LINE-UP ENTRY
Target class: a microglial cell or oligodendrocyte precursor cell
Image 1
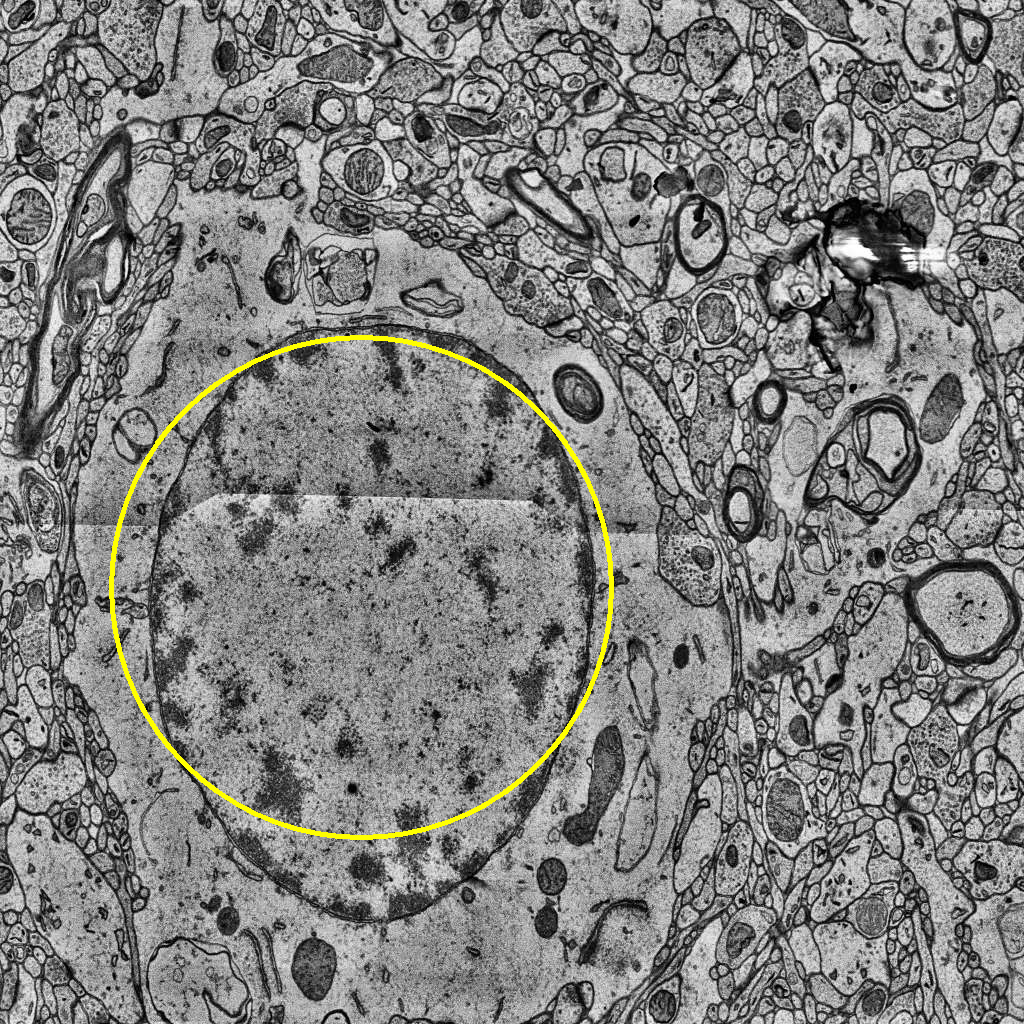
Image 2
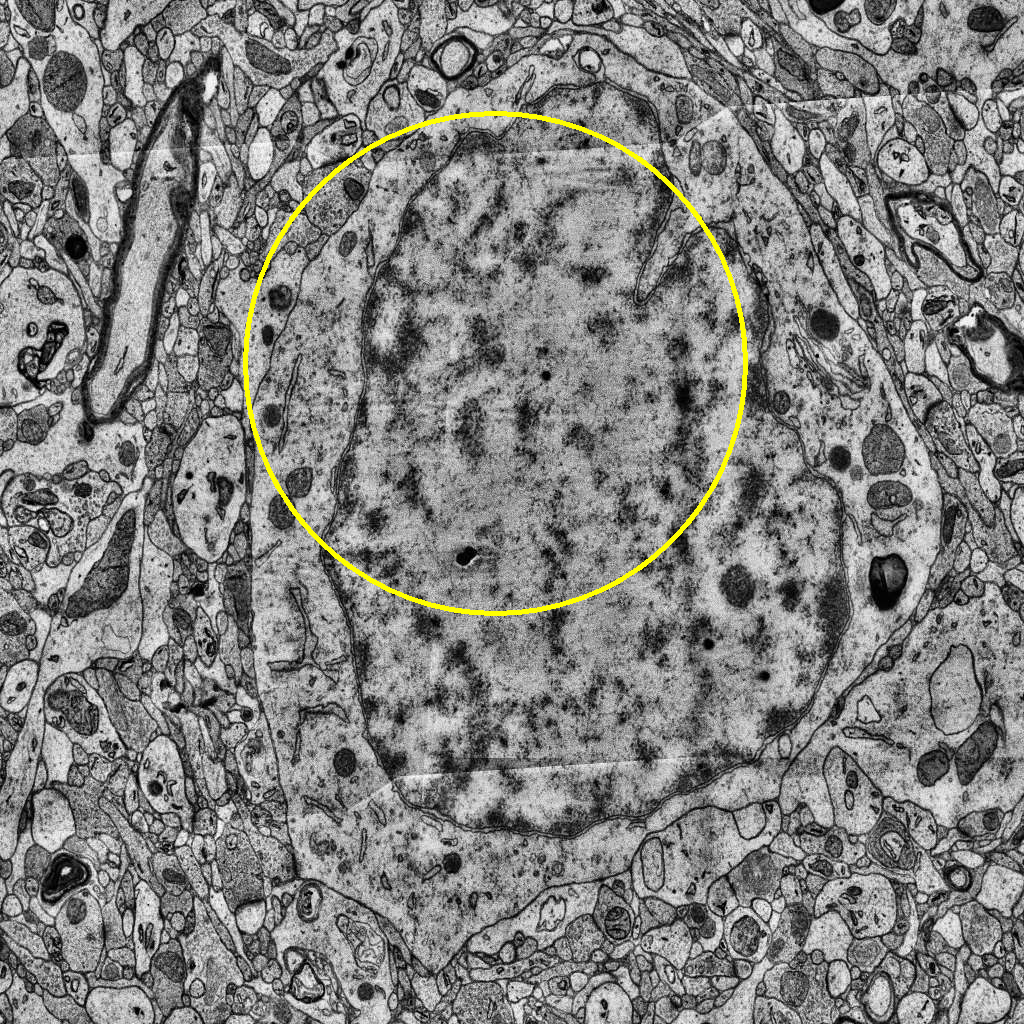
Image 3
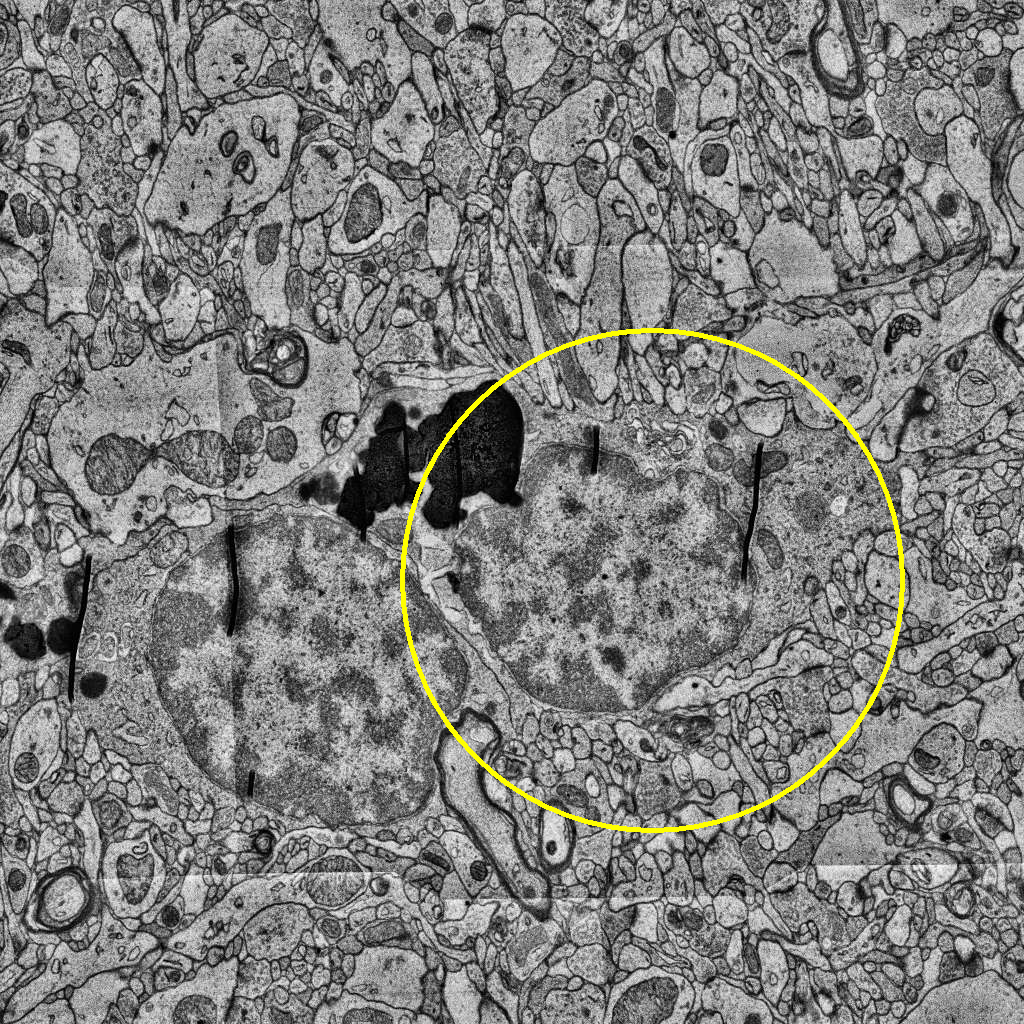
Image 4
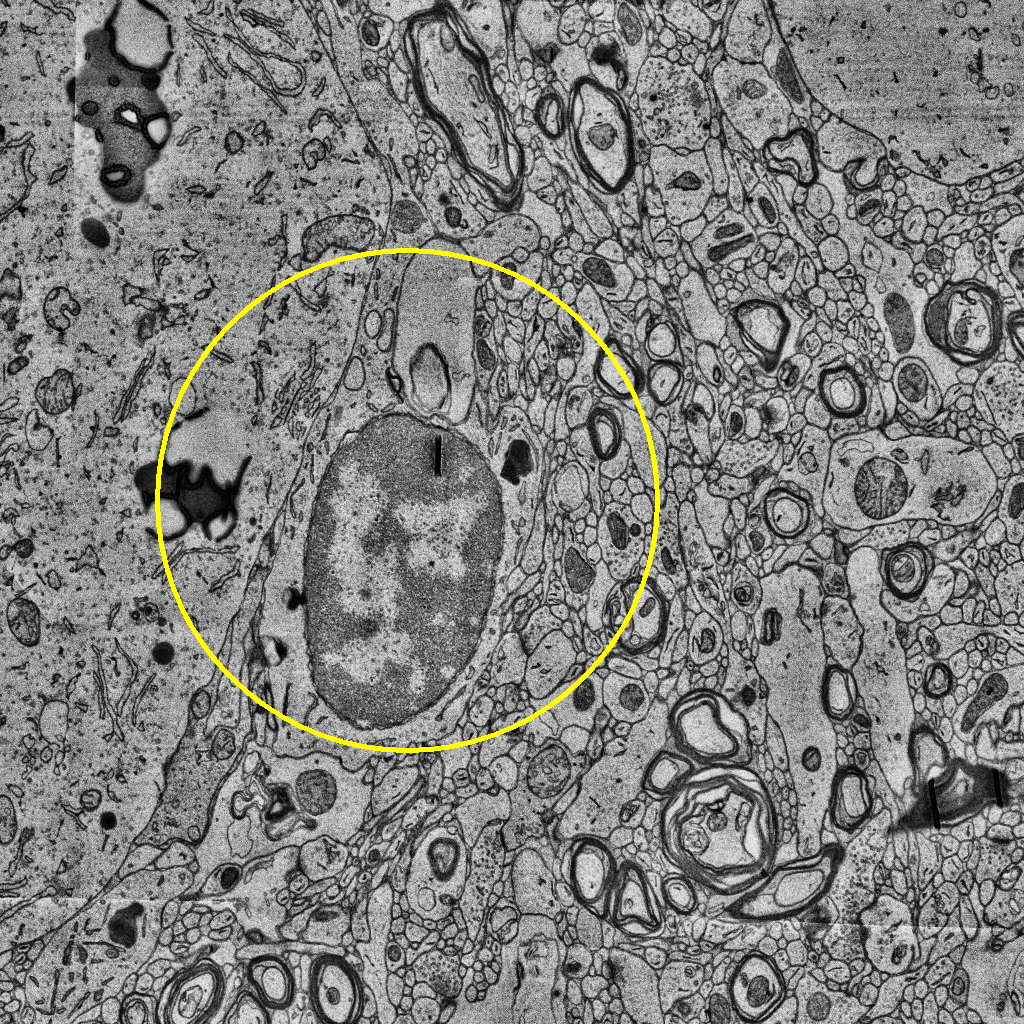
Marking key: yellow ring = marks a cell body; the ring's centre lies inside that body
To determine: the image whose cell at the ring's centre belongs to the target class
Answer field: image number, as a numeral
4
